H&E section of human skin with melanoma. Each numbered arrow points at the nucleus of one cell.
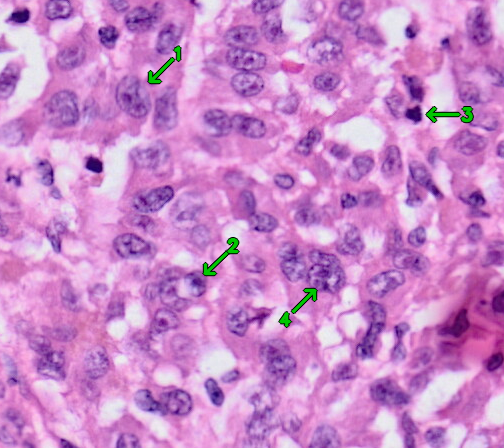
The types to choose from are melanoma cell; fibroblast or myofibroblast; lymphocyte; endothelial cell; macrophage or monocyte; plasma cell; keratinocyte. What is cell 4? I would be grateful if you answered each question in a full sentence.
The cell that bears the number 4 is a melanoma cell.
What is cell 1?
The cell carrying label 1 is identified as a melanoma cell.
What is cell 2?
Classified as a melanoma cell is the cell with the number 2.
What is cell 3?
The marked nucleus 3 is that of a lymphocyte.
